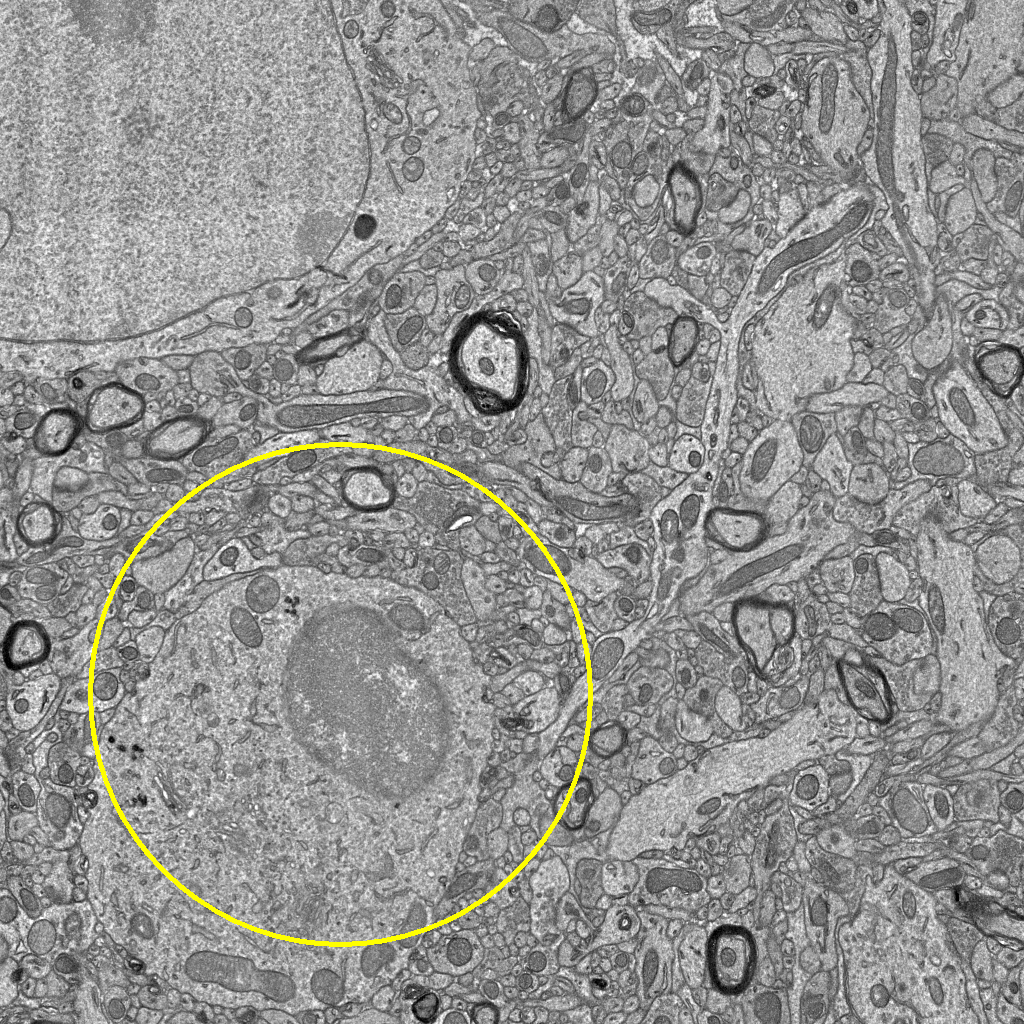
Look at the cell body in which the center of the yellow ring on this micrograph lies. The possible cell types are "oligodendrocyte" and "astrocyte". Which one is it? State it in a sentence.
The cell at the middle of the ring is an oligodendrocyte.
